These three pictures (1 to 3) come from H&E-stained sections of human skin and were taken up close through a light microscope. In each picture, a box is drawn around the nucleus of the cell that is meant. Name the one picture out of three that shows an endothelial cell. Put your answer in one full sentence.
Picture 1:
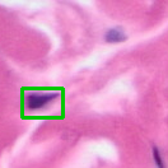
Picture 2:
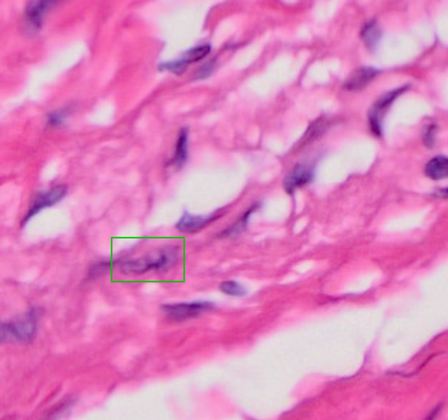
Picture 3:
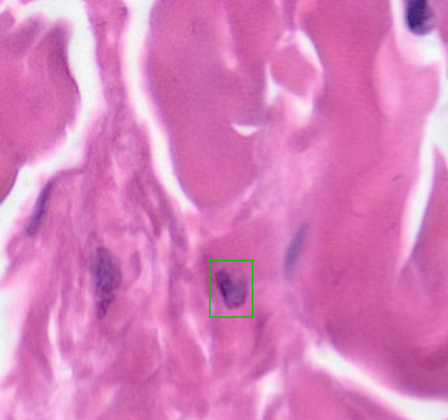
The picture with the endothelial cell is 2.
